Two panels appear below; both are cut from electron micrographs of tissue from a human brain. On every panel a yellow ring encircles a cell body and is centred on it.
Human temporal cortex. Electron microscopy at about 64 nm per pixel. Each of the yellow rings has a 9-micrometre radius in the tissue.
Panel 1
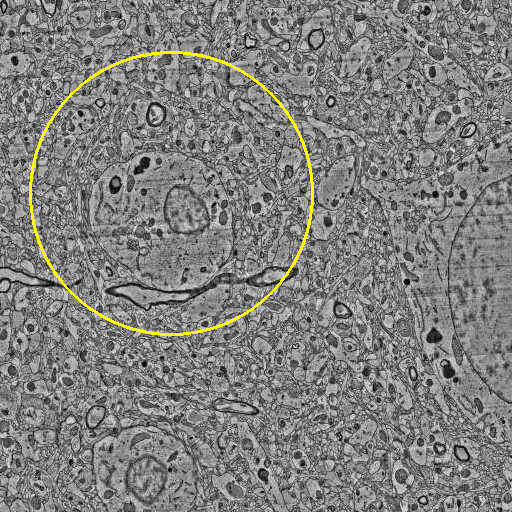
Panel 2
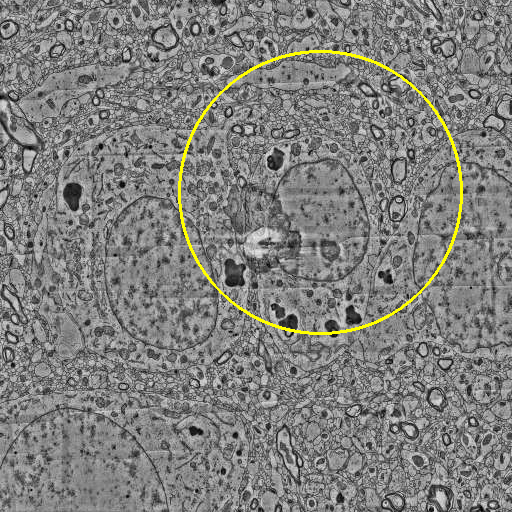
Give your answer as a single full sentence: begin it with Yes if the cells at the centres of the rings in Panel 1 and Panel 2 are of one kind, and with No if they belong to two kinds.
Yes, the cells in the middle of the rings in Panels 1 and 2 are of one kind.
